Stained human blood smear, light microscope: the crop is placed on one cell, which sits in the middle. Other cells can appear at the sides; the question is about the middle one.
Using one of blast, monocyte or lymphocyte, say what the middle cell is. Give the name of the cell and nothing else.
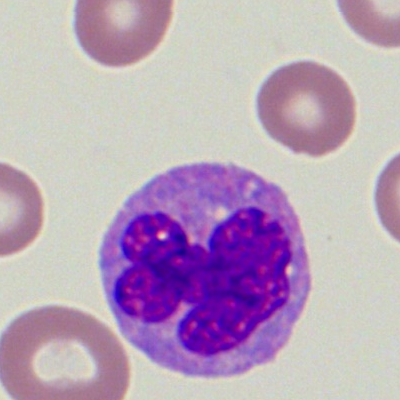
monocyte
